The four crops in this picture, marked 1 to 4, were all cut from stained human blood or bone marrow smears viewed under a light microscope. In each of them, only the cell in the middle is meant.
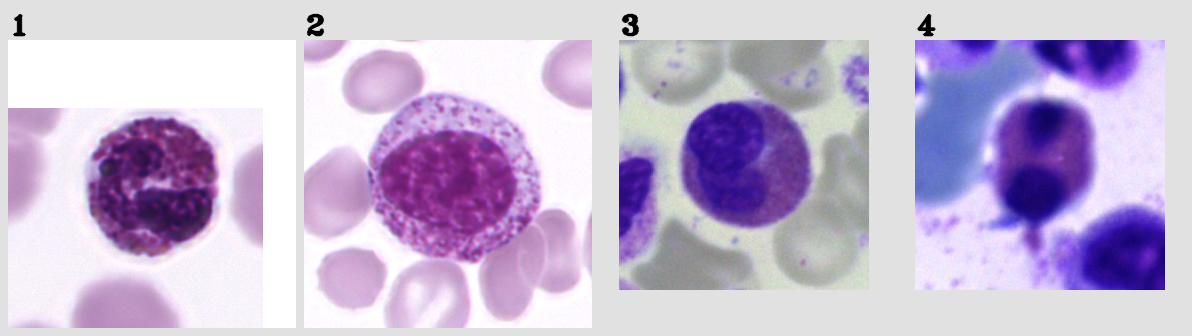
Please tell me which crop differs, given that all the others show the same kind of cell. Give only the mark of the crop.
2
